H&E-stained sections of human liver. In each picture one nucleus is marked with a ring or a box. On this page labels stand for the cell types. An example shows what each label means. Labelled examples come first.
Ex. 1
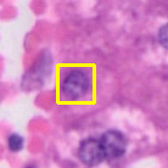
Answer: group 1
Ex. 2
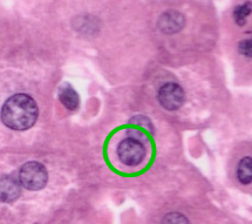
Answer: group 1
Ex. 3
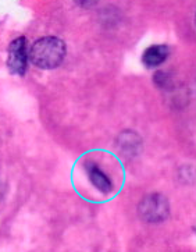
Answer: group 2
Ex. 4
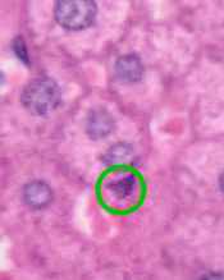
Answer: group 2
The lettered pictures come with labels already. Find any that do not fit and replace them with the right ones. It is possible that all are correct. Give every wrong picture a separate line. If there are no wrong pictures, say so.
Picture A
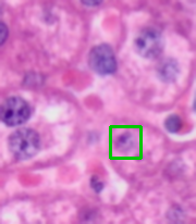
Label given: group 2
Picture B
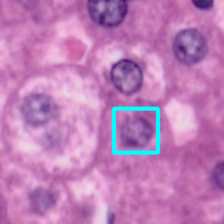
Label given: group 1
Wrong: A (group 2); correct: group 1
